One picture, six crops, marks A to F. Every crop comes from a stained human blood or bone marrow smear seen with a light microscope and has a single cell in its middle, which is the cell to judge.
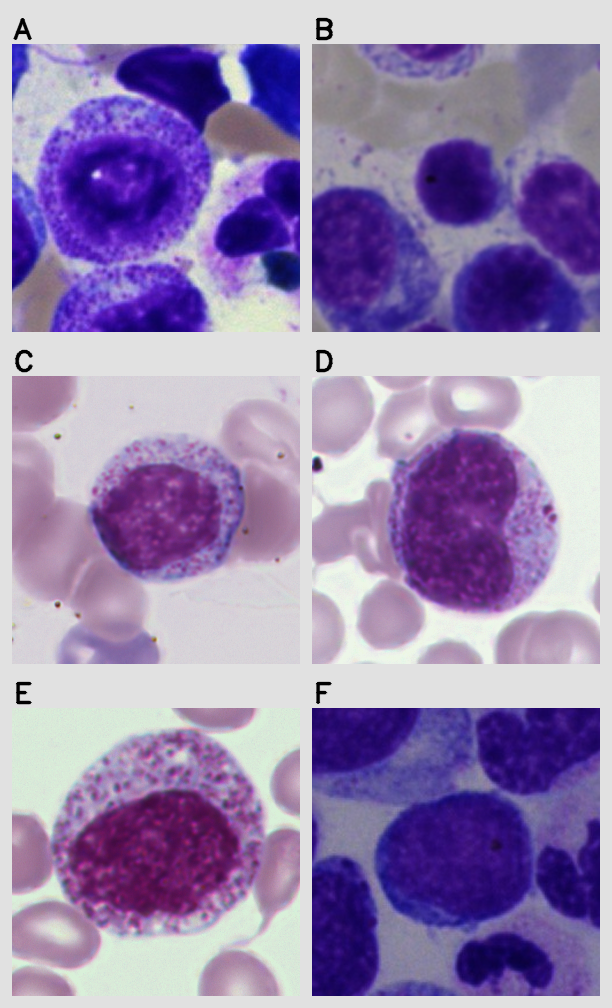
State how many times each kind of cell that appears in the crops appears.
myelocyte: 4
lymphocyte: 2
